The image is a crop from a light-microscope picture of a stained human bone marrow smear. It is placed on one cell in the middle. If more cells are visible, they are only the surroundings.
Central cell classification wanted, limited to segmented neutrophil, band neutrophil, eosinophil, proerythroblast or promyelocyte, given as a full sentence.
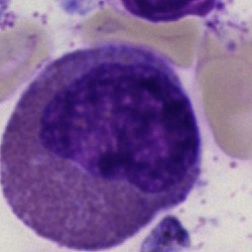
The middle position in this crop is taken by an eosinophil.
